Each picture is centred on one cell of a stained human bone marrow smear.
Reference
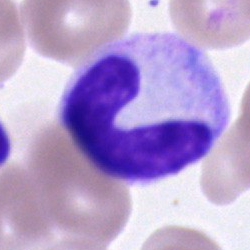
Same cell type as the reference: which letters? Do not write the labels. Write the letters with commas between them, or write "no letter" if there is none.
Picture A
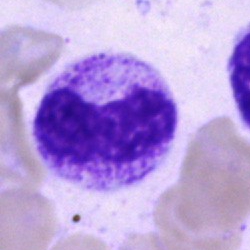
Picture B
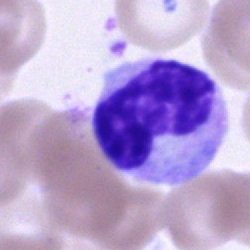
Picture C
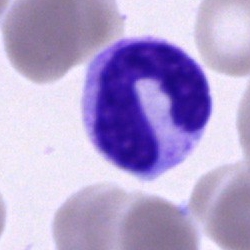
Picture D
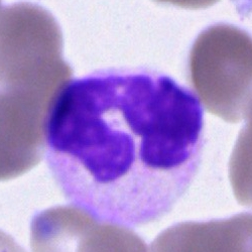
C, D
